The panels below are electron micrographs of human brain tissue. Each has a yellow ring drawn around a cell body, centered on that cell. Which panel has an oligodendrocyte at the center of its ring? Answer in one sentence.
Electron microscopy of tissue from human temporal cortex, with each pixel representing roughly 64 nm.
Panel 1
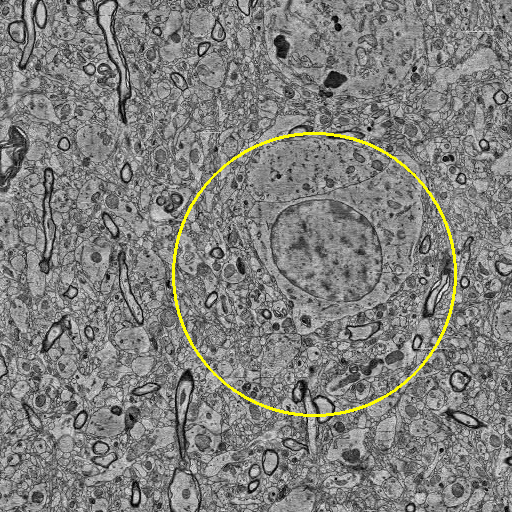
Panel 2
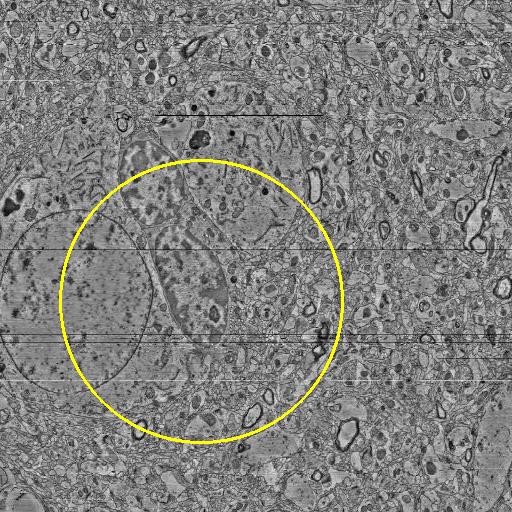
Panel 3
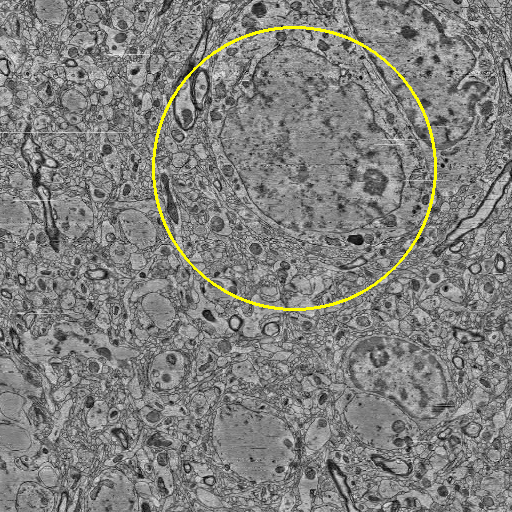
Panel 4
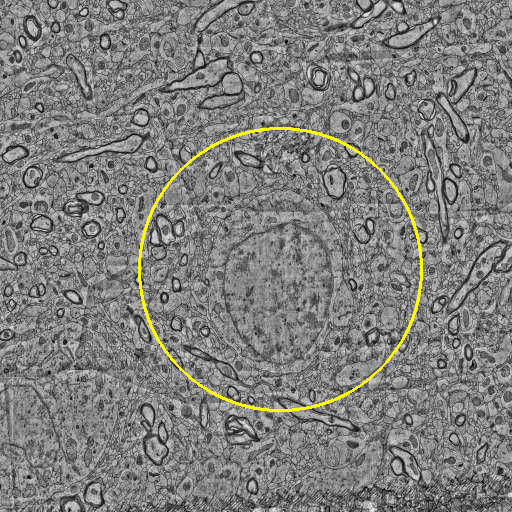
Panel 2 has it at the center of its ring.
